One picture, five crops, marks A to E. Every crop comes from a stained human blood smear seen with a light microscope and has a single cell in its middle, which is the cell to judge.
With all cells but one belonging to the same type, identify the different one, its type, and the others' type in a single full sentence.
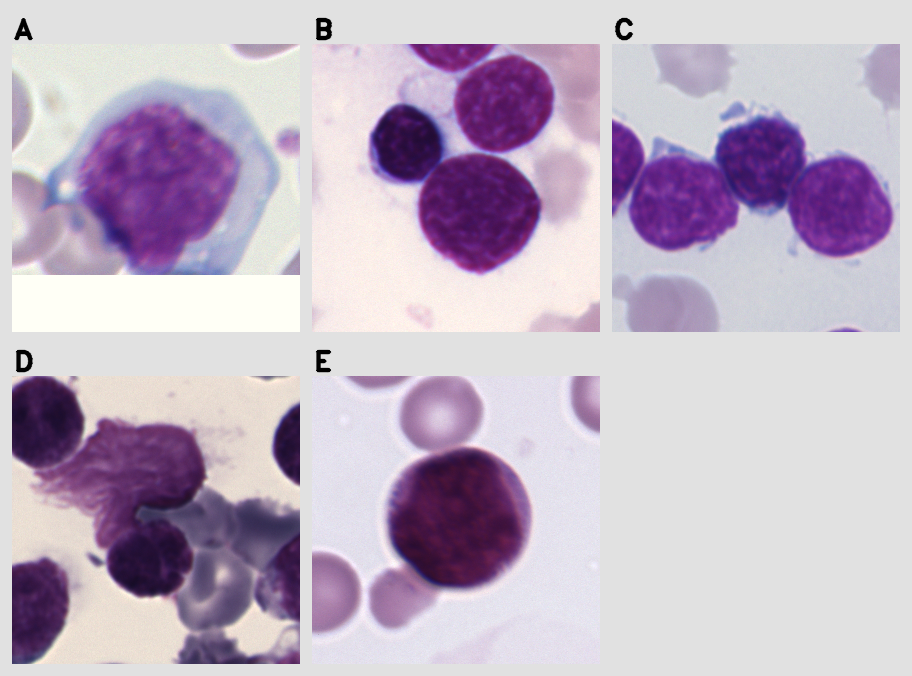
All the crops show myeloblasts except crop D, which shows a smudge cell.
